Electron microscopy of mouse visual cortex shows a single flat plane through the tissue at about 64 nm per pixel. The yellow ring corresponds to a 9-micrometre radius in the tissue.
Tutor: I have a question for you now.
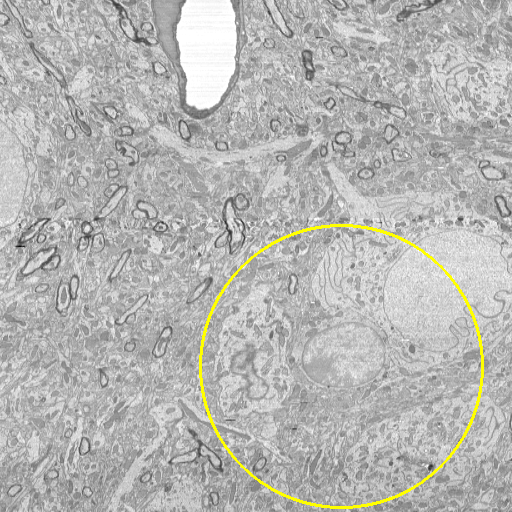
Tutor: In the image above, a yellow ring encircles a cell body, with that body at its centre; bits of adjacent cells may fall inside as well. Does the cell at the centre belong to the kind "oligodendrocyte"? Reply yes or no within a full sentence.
Yes, the cell at the centre of the yellow ring in the picture is of that kind.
